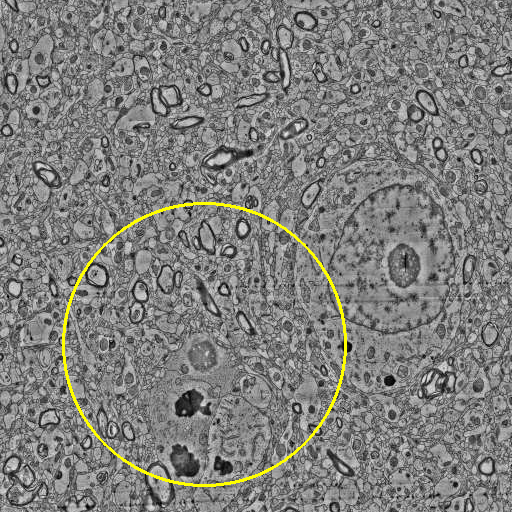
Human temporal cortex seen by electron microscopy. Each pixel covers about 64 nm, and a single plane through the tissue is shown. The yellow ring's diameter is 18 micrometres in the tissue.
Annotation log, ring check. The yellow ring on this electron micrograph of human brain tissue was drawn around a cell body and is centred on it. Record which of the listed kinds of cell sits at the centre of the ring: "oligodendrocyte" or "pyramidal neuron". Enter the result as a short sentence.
The cell at the centre of the ring is an oligodendrocyte.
